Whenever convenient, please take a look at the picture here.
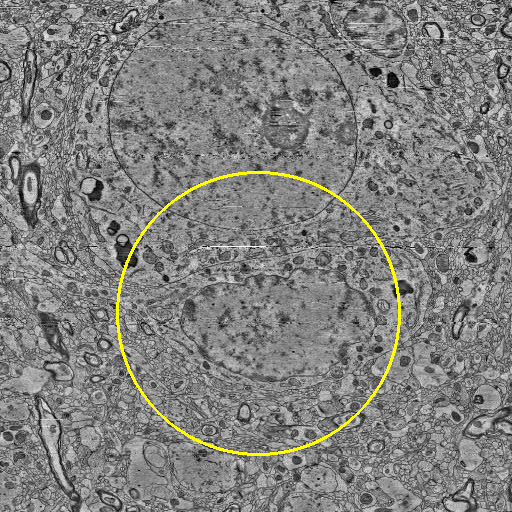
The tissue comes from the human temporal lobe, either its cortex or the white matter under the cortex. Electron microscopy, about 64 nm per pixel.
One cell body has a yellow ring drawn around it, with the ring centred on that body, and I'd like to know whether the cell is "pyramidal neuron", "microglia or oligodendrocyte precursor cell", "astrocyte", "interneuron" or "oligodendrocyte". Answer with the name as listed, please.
interneuron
